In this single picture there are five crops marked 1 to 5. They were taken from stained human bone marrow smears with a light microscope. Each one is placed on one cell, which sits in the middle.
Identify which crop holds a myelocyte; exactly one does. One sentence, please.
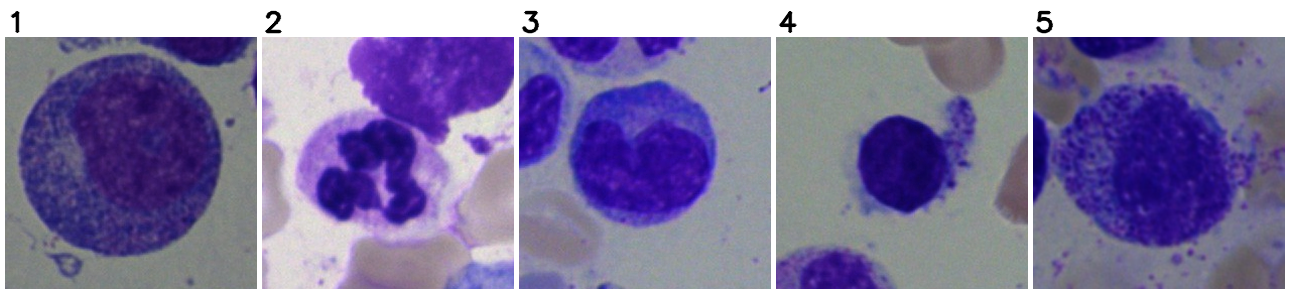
The one showing a myelocyte is the crop labelled 5.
